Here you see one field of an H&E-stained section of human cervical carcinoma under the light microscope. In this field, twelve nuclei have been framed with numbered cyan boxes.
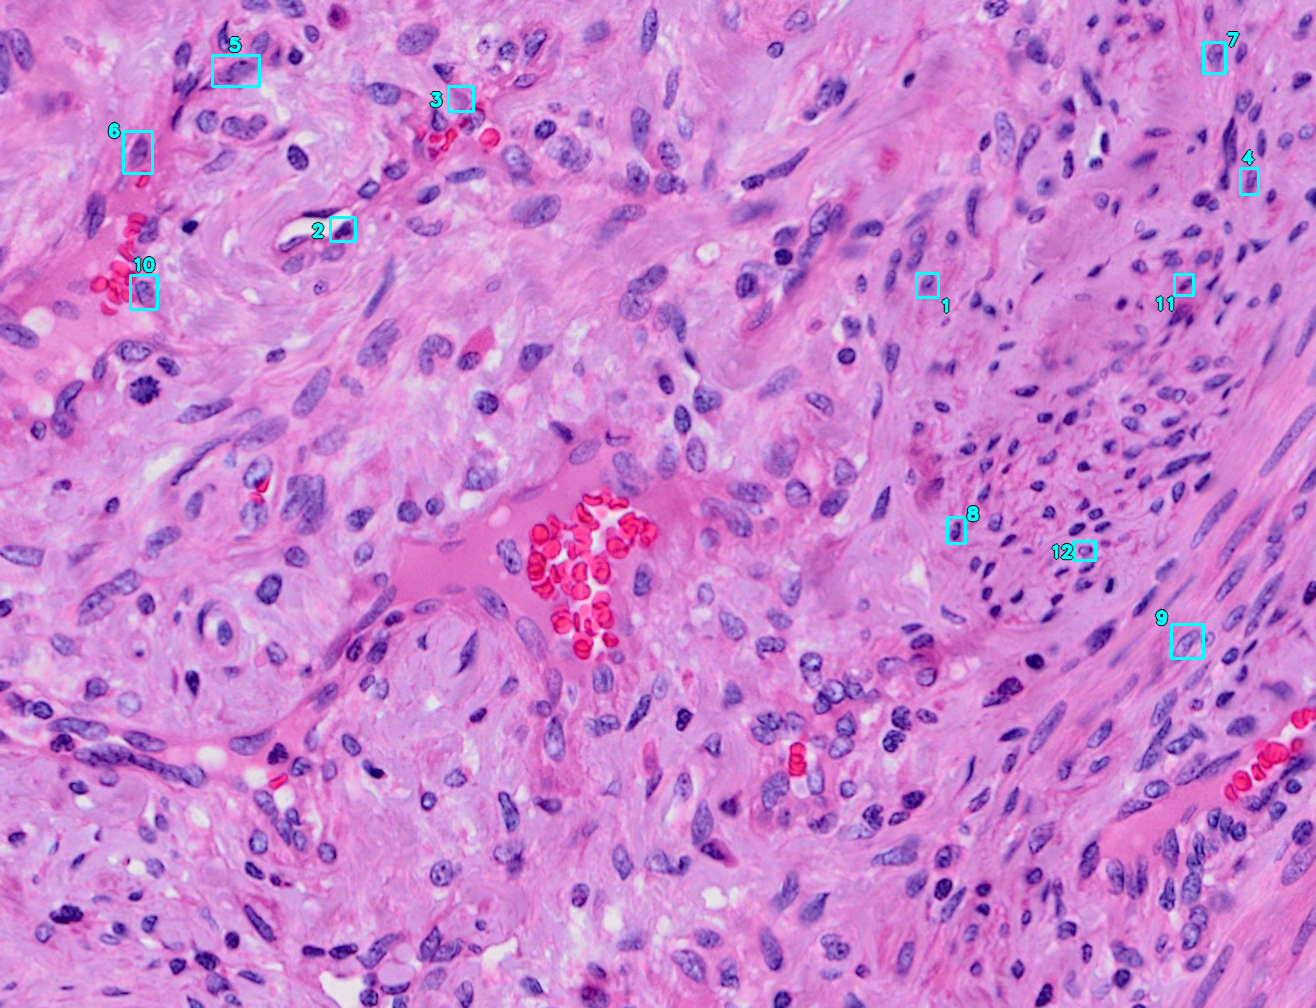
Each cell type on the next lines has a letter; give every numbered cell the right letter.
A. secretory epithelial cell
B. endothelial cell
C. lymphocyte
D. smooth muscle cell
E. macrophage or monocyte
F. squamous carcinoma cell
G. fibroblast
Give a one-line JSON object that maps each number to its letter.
{"1": "D", "2": "B", "3": "B", "4": "D", "5": "B", "6": "B", "7": "D", "8": "D", "9": "D", "10": "B", "11": "D", "12": "D"}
